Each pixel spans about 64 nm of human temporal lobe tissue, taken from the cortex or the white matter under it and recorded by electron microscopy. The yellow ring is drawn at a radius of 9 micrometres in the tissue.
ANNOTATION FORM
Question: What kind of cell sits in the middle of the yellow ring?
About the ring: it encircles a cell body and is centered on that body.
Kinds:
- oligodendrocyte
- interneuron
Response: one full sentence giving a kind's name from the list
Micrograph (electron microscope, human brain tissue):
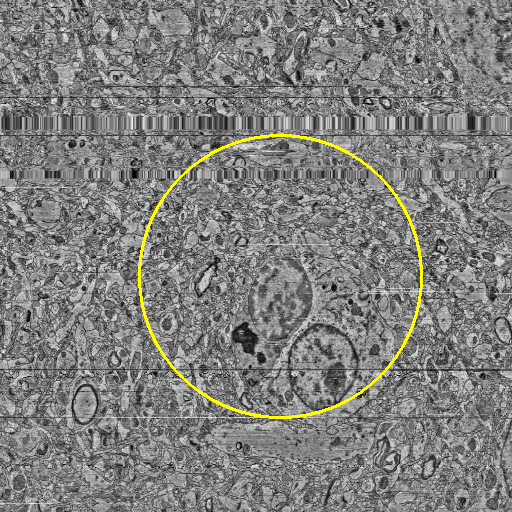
The kind of cell found at the center of the yellow ring in the micrograph is an oligodendrocyte.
